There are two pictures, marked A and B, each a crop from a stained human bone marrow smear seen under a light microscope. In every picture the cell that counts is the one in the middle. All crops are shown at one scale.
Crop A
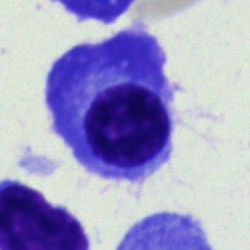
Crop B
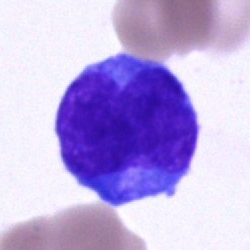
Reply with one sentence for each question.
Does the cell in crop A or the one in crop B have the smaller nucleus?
The nucleus in crop A is smaller; the one in crop B has about 2.5 times its area.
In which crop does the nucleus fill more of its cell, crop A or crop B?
Of the two, the nucleus in crop B makes up the greater part of its cell.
